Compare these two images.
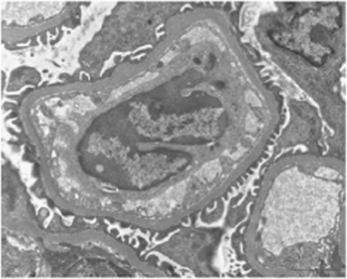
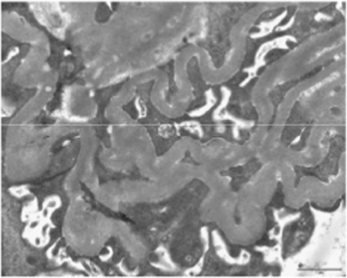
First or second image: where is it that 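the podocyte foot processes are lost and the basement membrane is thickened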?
The second image.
